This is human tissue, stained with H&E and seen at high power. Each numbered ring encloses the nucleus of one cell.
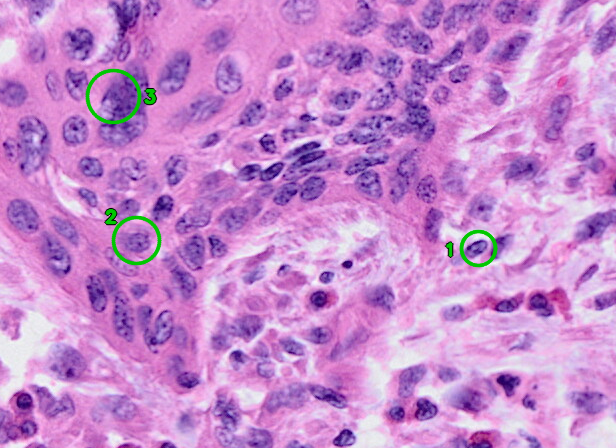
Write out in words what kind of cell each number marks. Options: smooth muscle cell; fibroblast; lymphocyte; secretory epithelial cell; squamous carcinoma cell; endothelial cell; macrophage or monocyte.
Cell 1 is a lymphocyte. Cells 2 and 3 are squamous carcinoma cells.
